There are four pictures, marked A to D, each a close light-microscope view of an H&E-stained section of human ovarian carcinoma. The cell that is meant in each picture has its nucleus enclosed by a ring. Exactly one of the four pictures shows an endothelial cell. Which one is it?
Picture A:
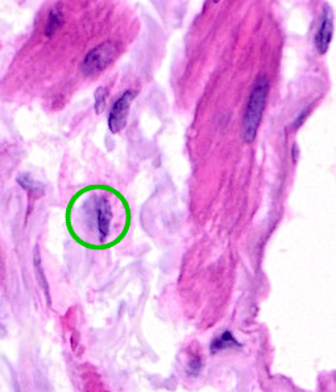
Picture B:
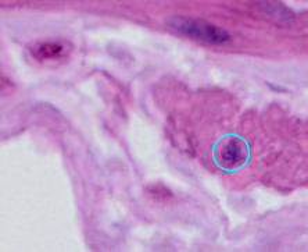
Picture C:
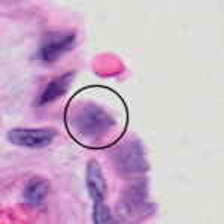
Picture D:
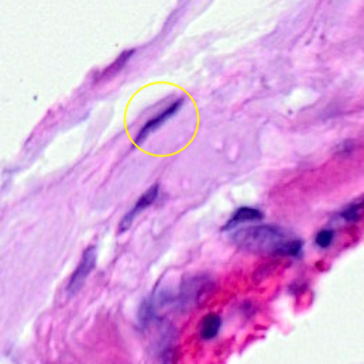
C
